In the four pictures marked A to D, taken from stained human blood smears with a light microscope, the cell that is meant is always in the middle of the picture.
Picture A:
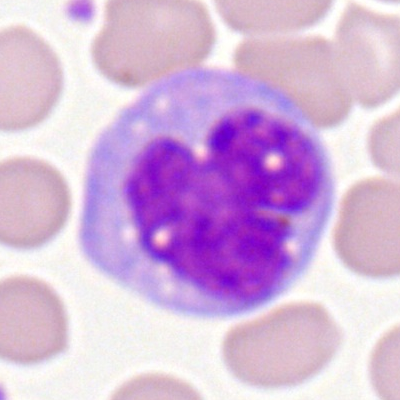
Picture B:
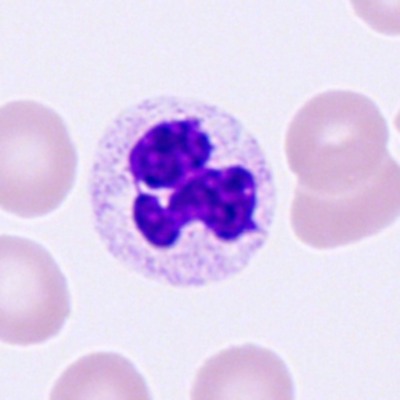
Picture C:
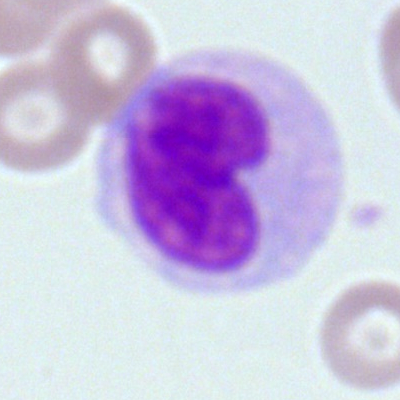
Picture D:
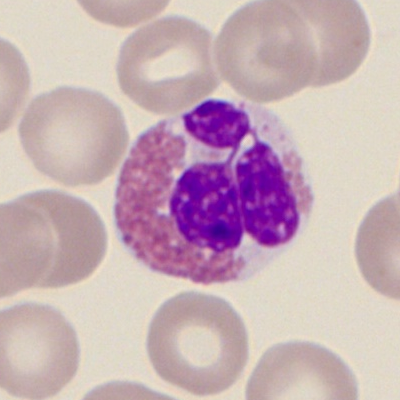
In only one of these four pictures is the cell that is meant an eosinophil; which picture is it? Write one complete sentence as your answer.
The eosinophil is the one in picture D.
